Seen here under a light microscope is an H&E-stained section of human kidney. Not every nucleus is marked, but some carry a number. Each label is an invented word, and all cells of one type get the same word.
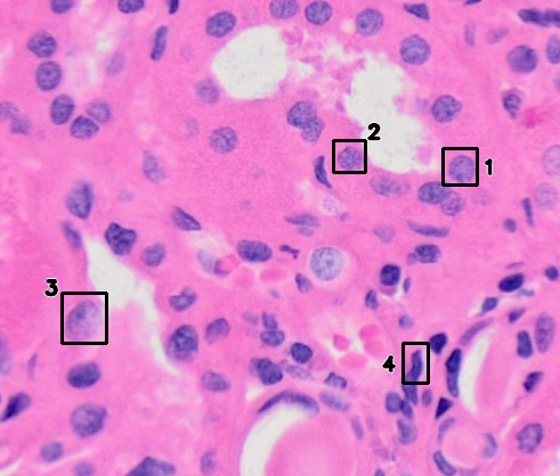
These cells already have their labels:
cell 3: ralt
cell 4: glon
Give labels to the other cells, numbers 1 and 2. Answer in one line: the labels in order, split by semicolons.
ralt; ralt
